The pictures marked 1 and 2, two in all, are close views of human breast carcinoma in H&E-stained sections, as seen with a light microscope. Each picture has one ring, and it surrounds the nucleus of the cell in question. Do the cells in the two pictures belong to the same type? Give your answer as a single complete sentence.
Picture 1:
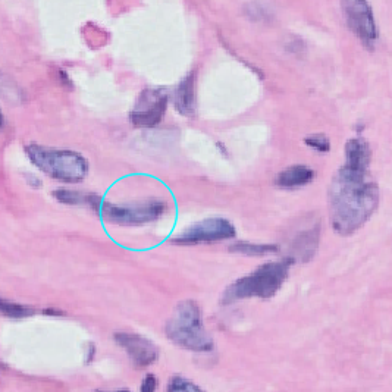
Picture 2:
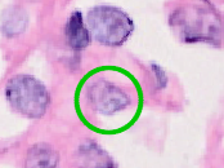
No, picture 1 shows an endothelial cell and picture 2 shows a carcinoma cell.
